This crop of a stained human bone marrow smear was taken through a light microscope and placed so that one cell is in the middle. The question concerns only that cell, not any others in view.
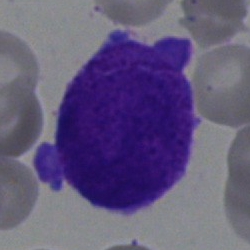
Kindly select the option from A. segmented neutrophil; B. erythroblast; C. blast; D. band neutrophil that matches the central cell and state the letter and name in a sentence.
The right choice is option C: the cell in the middle is a blast.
